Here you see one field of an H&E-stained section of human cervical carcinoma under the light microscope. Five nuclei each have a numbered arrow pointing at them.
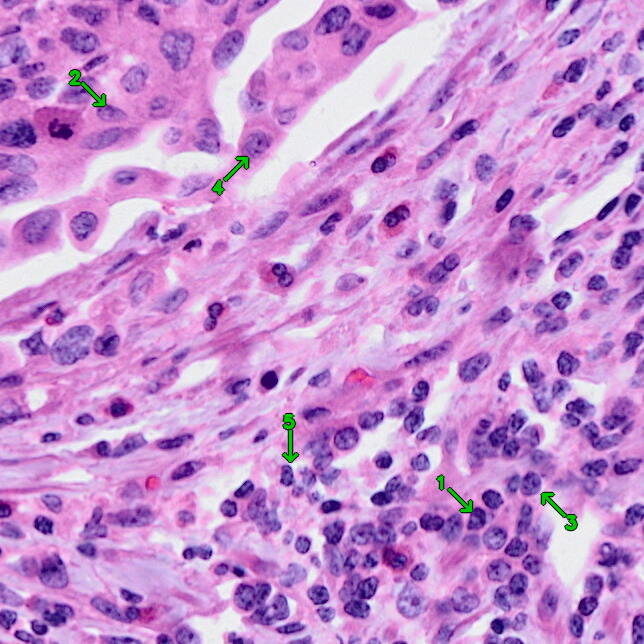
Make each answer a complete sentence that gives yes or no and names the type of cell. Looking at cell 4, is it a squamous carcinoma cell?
Yes, the cell with the number 4 is a squamous carcinoma cell.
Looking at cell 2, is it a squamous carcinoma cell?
Yes, the numbered cell 2 is identified as a squamous carcinoma cell.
